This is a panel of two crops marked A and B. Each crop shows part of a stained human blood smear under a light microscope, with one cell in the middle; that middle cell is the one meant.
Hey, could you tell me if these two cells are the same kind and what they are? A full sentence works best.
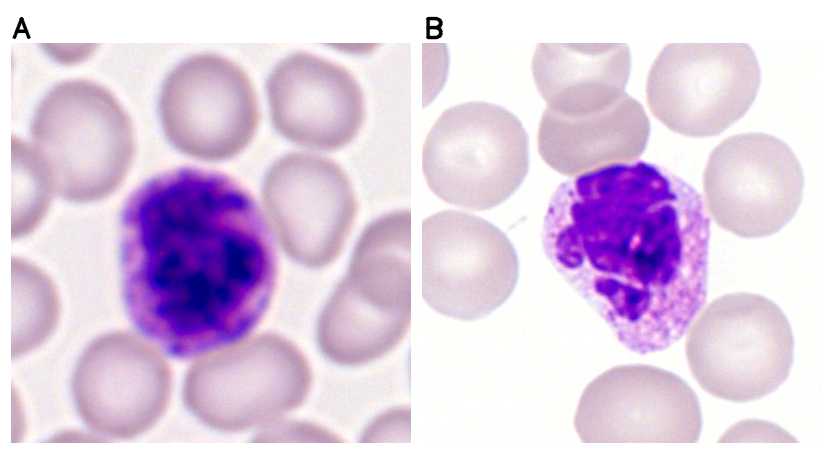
Yes, basophils occupy the centre of both crops.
